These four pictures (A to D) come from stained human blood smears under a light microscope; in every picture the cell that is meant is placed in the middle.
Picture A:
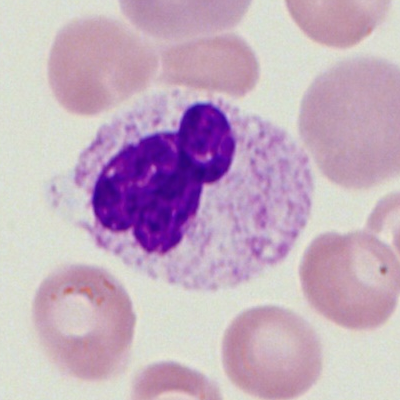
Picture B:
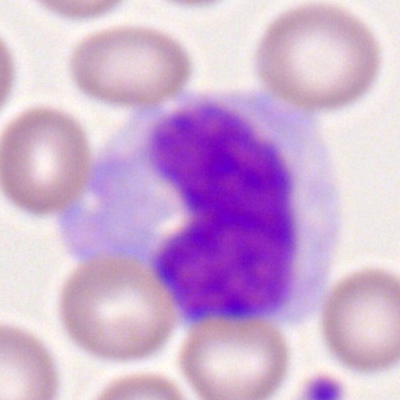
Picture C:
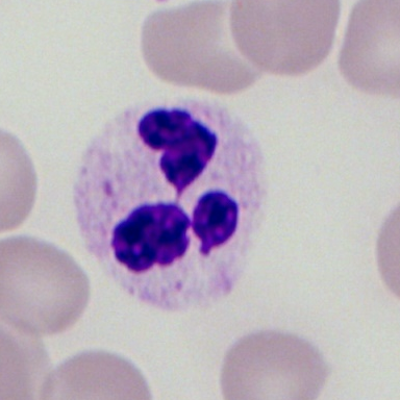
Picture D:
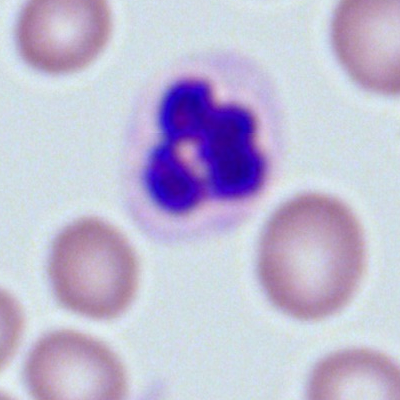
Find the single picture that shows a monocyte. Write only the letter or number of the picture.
B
